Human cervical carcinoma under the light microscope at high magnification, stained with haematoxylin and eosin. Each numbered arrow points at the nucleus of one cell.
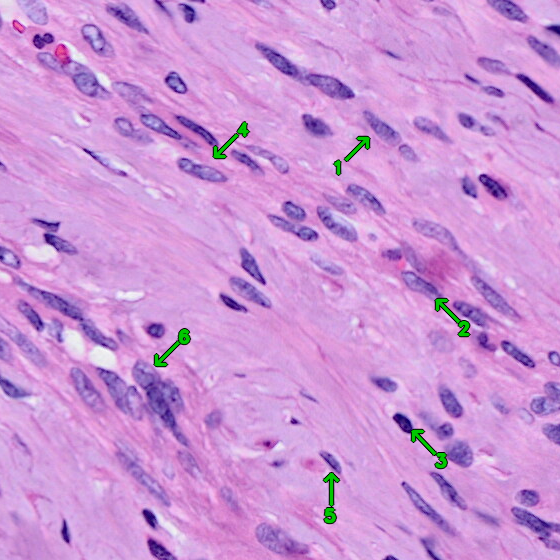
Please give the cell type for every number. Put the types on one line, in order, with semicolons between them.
fibroblast; endothelial cell; lymphocyte; smooth muscle cell; fibroblast; endothelial cell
